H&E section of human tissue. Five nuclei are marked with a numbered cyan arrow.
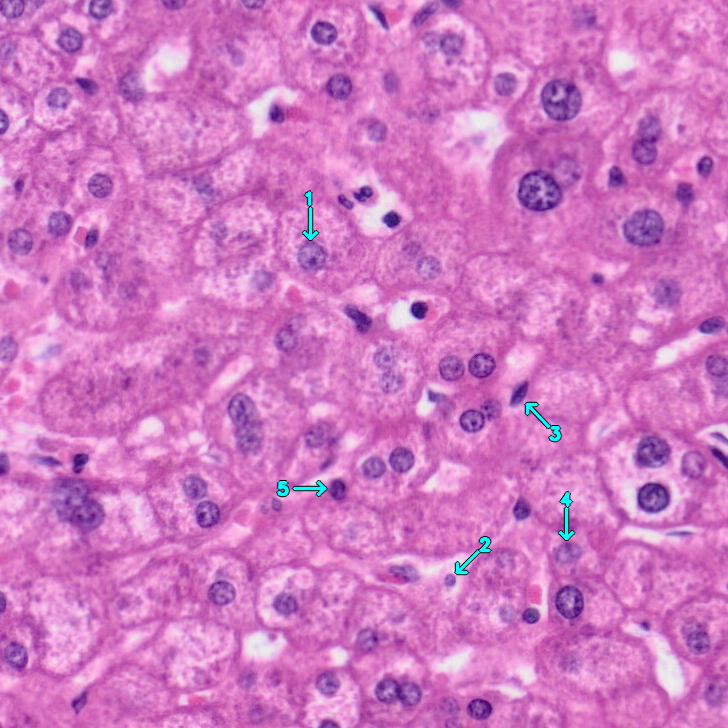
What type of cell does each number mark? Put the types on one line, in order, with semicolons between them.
hepatocyte; lymphocyte; endothelial cell; hepatocyte; Kupffer cell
